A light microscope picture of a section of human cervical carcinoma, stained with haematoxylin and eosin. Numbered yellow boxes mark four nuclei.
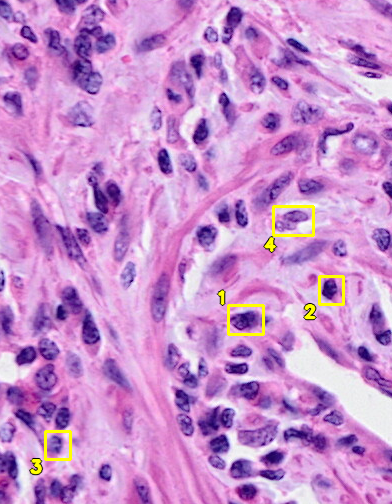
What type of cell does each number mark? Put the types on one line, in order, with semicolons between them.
lymphocyte; lymphocyte; lymphocyte; macrophage or monocyte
